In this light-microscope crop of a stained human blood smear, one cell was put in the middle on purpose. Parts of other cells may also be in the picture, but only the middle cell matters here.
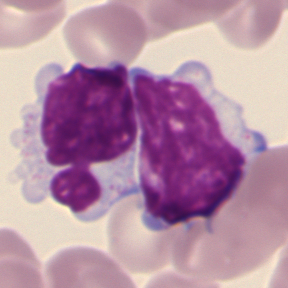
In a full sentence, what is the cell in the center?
The single cell at the center of the crop is a large granular lymphocyte.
